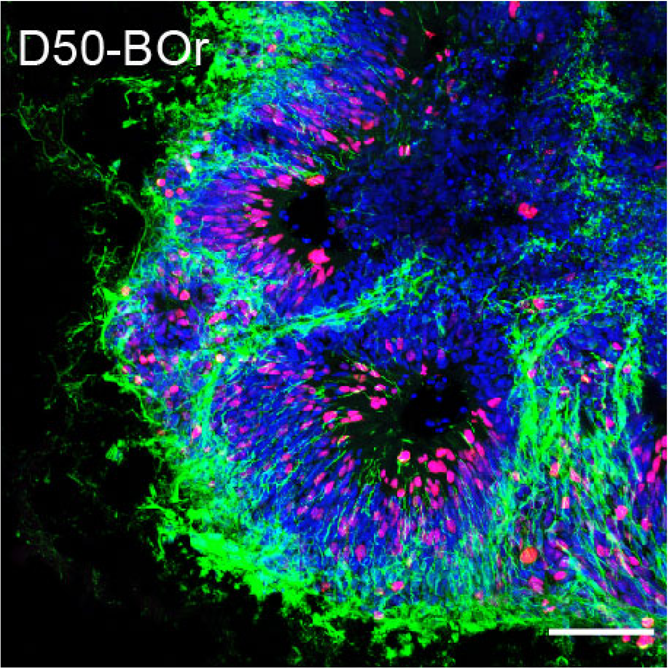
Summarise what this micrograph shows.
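This brain organoid section shows rosettes of neural tissue around small lumens, with dividing progenitors near the lumens and young neurons further out. Green fibres radiate outward from the rosettes and form a dense tangled meshwork at the outer surface of the organoid.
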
